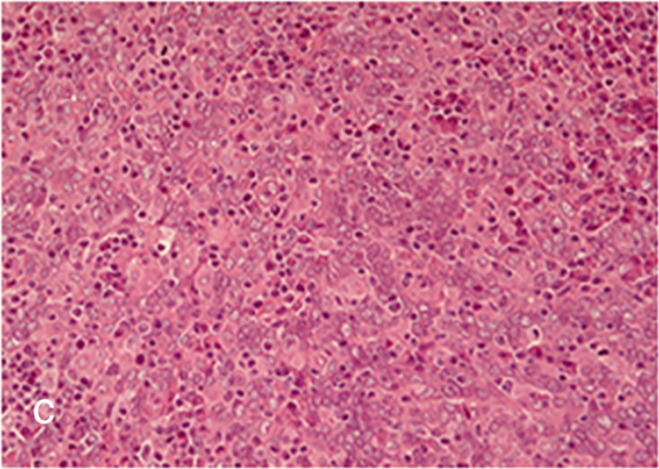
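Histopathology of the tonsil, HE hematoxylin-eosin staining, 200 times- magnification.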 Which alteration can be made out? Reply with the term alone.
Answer: Enlarged nuclei and vesicular chromatin.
